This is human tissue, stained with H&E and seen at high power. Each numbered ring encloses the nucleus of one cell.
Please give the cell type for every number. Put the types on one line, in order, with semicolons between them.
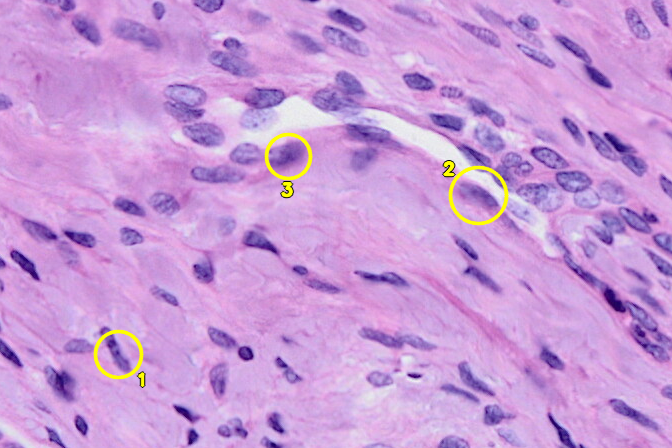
fibroblast; endothelial cell; endothelial cell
